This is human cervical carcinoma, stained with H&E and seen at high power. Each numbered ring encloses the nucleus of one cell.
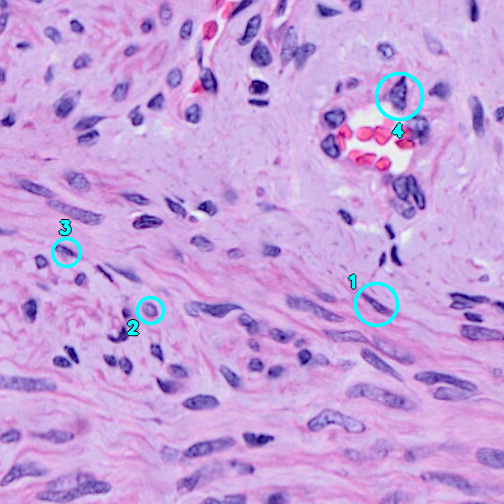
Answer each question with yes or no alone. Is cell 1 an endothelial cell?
no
